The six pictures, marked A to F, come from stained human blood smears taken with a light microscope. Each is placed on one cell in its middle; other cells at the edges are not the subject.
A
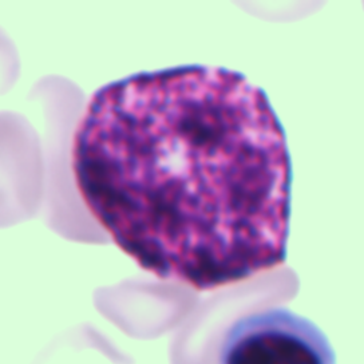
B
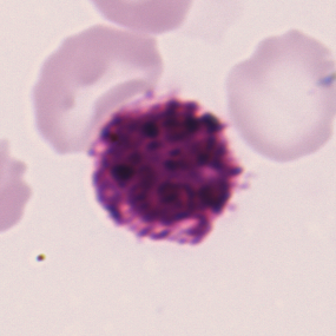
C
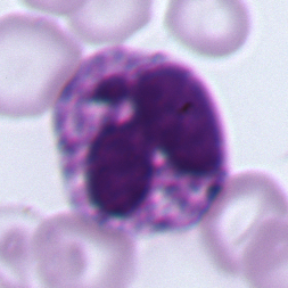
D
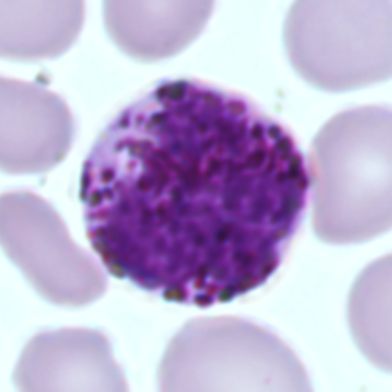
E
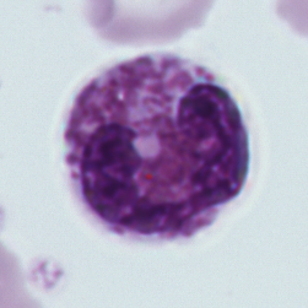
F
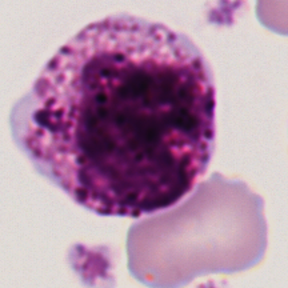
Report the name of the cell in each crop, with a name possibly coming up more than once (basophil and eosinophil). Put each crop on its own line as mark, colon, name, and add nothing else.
A: basophil
B: basophil
C: basophil
D: basophil
E: eosinophil
F: basophil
